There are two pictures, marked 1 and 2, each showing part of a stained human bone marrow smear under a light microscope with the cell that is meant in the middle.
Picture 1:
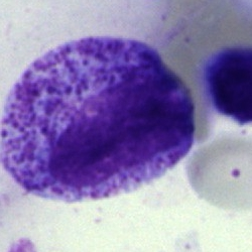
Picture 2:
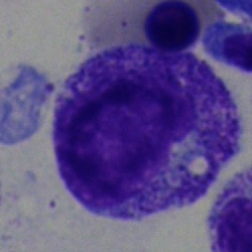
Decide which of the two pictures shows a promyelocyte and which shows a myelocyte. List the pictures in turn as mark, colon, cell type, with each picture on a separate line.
1: promyelocyte
2: myelocyte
